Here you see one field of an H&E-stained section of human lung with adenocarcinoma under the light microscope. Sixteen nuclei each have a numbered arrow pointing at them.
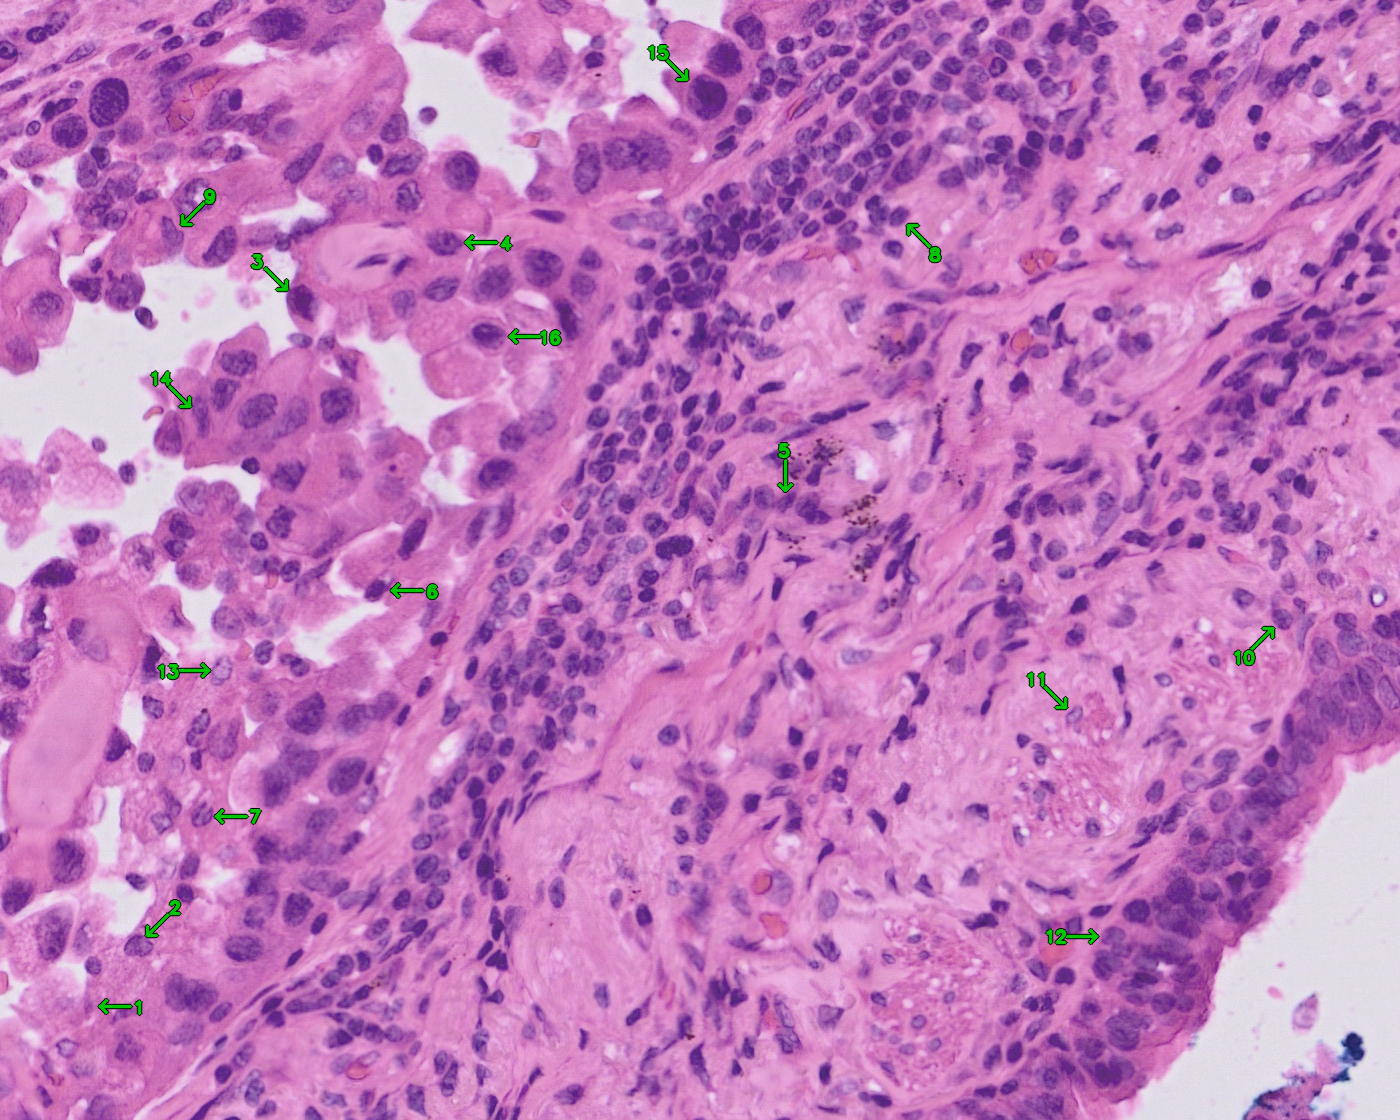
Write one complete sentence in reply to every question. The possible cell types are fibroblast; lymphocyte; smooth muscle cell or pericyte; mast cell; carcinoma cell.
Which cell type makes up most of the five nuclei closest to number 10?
Most of the five nuclei nearest to number 10 are those of fibroblasts.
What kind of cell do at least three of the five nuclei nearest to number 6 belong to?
Of the five nuclei nearest to number 6, most belong to carcinoma cells.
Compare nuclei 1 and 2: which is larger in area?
Number 2 is larger; its area is about 3 times that of number 1.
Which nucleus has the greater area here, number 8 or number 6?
Nucleus 6 is the larger one, covering about 1.5 times the area of nucleus 8.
